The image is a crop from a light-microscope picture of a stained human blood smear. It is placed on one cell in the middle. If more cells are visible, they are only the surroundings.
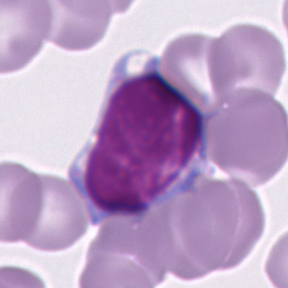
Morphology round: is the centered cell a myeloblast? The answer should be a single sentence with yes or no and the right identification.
No, it is a typical lymphocyte and not a myeloblast that occupies the middle of the crop.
